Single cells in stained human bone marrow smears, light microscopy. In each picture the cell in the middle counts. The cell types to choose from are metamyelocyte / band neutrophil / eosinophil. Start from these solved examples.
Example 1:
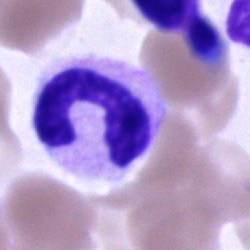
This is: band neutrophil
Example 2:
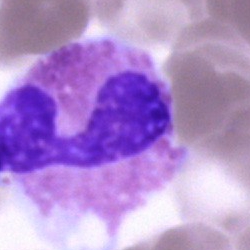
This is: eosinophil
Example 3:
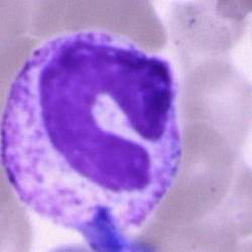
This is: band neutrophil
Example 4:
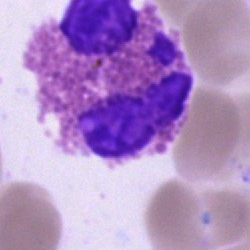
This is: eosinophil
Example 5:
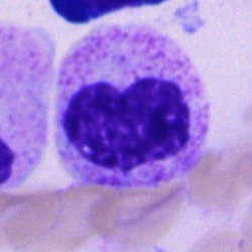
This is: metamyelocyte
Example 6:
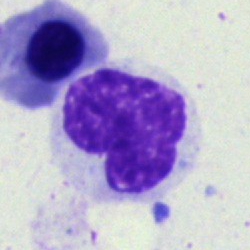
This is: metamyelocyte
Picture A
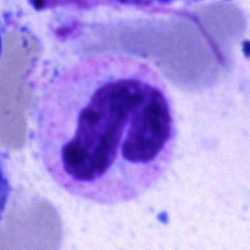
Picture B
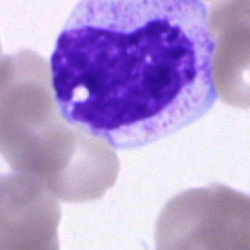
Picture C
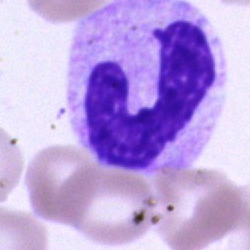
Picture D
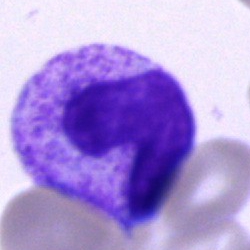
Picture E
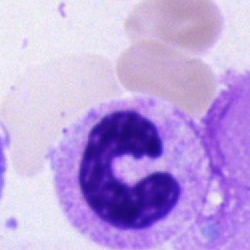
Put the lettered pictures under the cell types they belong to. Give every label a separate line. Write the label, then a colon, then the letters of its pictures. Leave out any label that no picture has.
metamyelocyte: B, D
band neutrophil: A, C, E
